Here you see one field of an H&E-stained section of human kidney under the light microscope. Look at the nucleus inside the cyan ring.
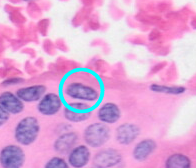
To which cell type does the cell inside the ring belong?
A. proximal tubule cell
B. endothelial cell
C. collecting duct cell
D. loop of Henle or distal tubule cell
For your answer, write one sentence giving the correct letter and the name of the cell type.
Here the cell inside the ring is a collecting duct cell, which makes option C correct.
